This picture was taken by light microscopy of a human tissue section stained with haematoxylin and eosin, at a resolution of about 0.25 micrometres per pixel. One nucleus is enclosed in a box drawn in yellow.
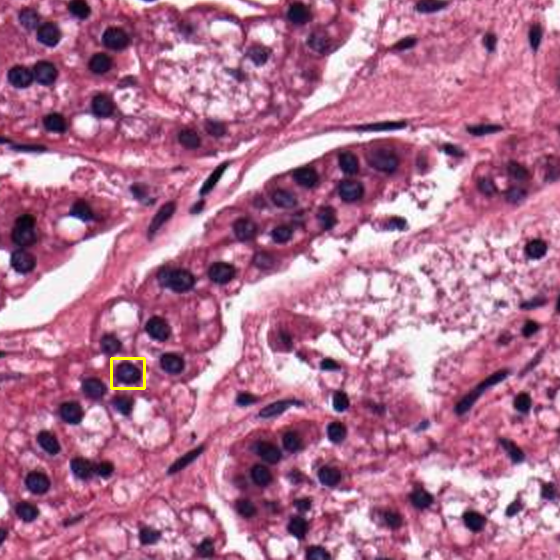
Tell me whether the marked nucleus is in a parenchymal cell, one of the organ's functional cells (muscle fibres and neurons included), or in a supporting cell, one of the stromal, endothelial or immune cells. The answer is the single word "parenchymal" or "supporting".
parenchymal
